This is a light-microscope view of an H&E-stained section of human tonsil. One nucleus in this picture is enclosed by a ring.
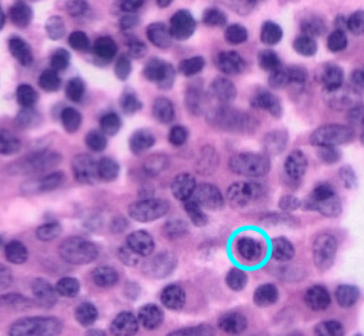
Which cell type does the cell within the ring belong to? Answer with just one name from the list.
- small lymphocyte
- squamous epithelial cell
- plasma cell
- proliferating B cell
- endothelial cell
plasma cell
